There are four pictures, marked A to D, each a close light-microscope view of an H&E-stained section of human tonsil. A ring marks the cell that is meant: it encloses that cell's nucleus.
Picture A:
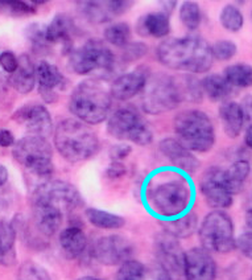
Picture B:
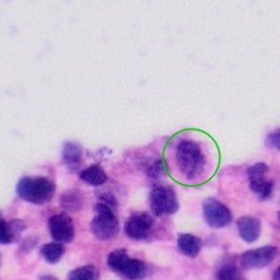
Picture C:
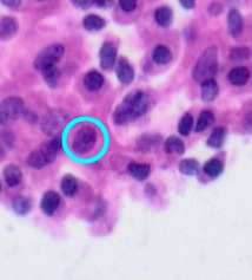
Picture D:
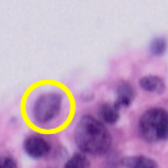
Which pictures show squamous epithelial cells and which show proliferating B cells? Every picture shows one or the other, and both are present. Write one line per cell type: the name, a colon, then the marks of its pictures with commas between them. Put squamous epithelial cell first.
squamous epithelial cell: C
proliferating B cell: A, B, D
